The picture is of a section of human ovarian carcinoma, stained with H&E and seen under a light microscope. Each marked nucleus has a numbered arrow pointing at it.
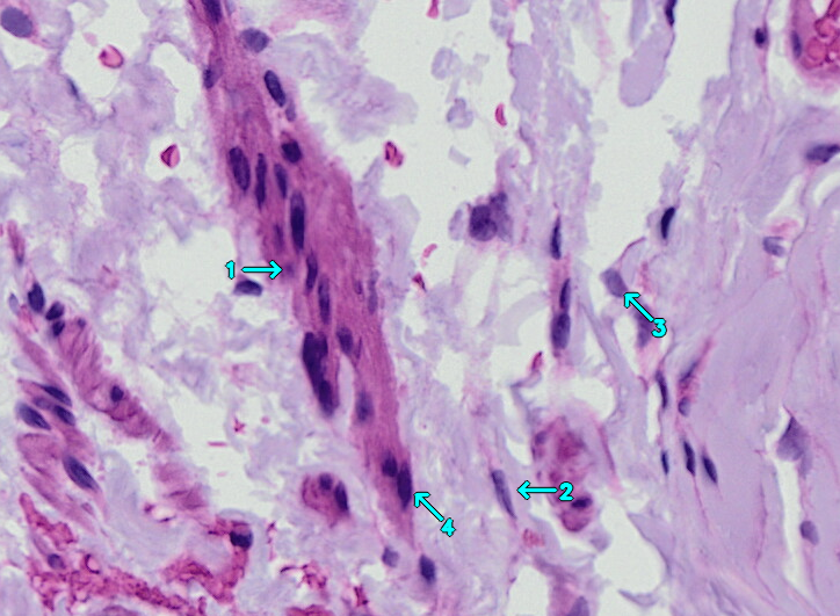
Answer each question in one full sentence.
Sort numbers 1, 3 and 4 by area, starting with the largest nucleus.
The nuclei rank 4, 3, 1, from largest to smallest.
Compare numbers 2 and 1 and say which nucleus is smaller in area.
Nucleus 1 covers less area, with nucleus 2 about 3 times as large.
